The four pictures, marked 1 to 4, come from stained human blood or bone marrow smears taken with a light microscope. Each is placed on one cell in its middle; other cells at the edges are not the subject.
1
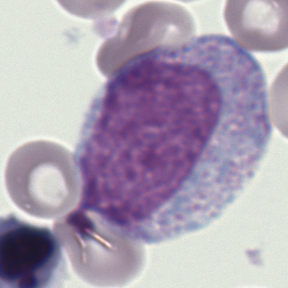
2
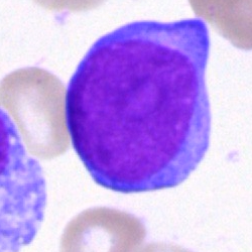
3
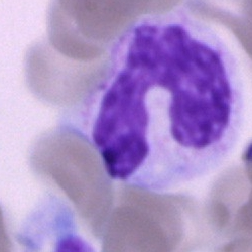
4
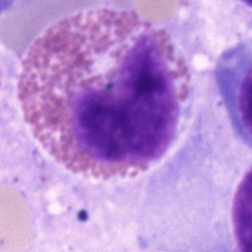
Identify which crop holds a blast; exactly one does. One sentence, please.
Only in crop 2 is a blast shown.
